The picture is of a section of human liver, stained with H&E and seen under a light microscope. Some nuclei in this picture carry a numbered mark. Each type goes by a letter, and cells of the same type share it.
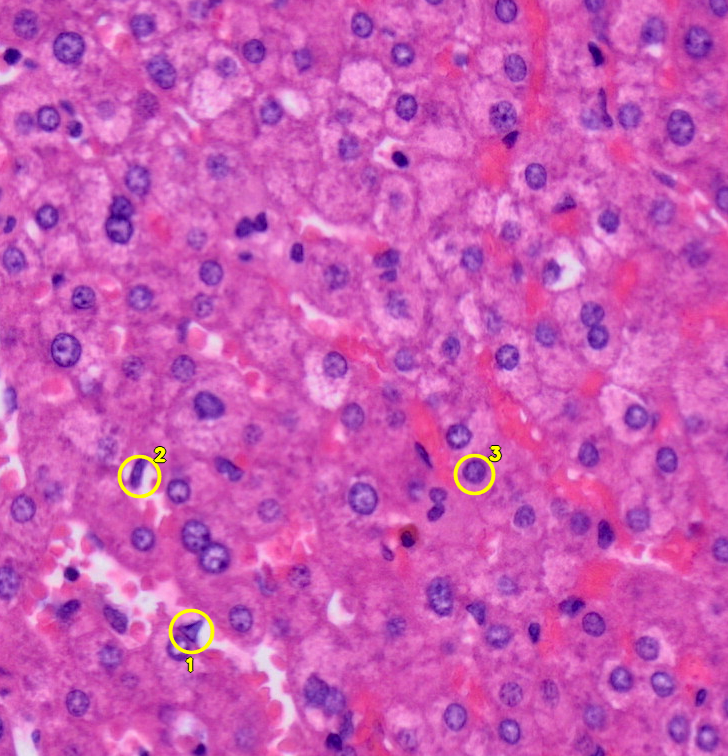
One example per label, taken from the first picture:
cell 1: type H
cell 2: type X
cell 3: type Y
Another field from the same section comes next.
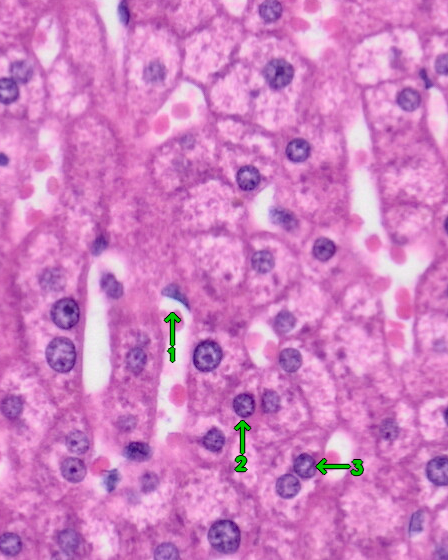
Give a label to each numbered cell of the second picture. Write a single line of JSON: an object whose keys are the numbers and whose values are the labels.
{"1": "type H", "2": "type Y", "3": "type Y"}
